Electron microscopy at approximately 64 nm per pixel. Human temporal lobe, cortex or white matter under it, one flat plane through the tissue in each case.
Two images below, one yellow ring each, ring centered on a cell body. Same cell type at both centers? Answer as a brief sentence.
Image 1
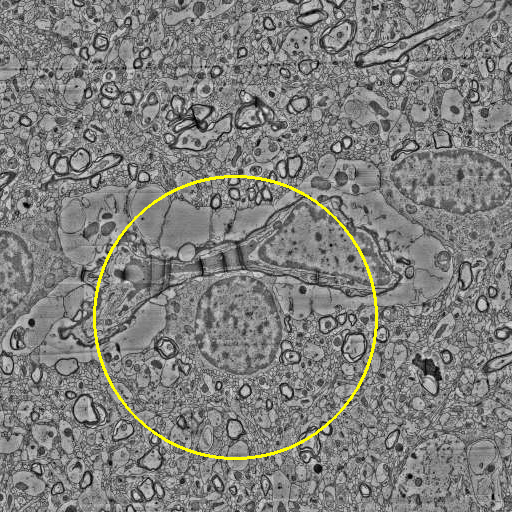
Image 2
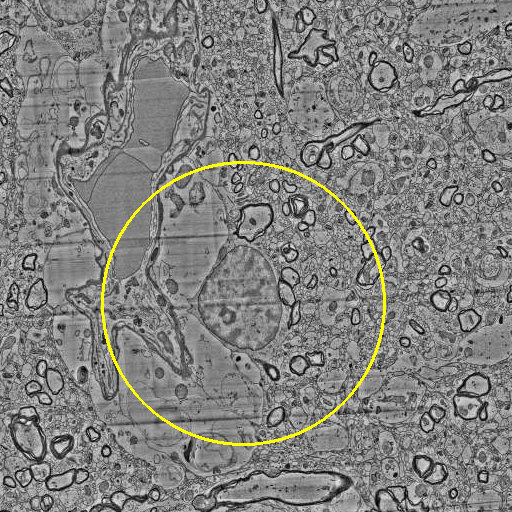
Yes, both cells are of the same type.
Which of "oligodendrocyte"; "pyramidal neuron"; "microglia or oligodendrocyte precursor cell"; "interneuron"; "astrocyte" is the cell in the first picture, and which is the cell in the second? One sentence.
In the first picture and in the second, the ring is centred on an oligodendrocyte.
